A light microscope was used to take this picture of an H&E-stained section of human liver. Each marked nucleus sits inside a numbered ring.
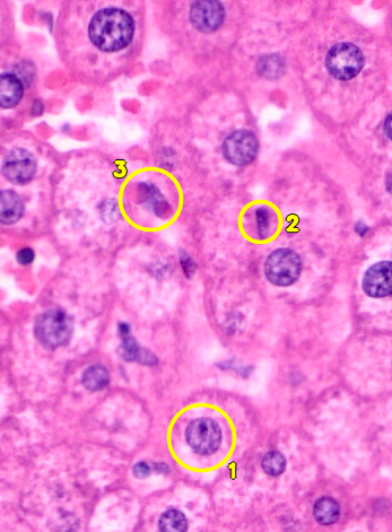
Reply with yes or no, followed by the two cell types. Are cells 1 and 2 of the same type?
No, cell 1 is a hepatocyte, and cell 2 is an endothelial cell.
